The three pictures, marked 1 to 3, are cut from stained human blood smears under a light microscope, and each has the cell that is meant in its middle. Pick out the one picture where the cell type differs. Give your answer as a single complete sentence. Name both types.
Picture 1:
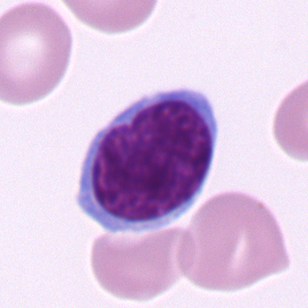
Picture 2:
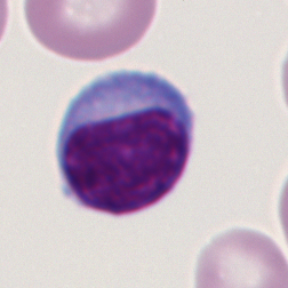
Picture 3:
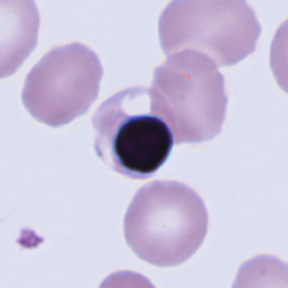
Unlike the rest, which show typical lymphocytes, picture 3 shows a normoblast.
